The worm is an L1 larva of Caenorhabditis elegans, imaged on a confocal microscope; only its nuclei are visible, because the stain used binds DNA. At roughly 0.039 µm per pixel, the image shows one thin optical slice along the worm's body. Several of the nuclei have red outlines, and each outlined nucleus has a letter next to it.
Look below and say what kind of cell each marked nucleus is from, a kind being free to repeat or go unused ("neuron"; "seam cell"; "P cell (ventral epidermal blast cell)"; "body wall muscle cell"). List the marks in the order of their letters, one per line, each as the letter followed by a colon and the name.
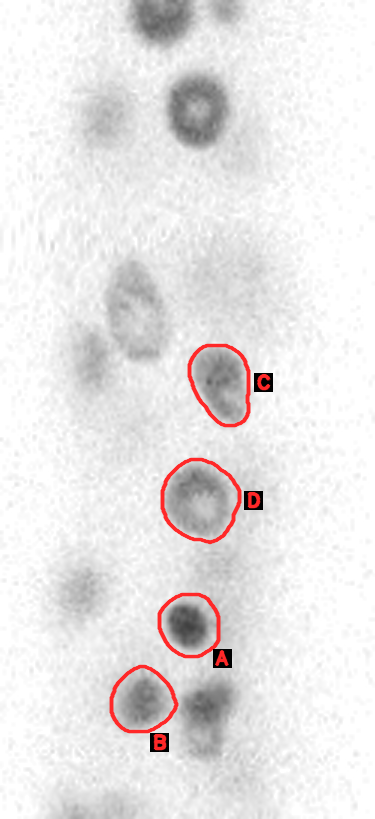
A: neuron
B: neuron
C: P cell (ventral epidermal blast cell)
D: seam cell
